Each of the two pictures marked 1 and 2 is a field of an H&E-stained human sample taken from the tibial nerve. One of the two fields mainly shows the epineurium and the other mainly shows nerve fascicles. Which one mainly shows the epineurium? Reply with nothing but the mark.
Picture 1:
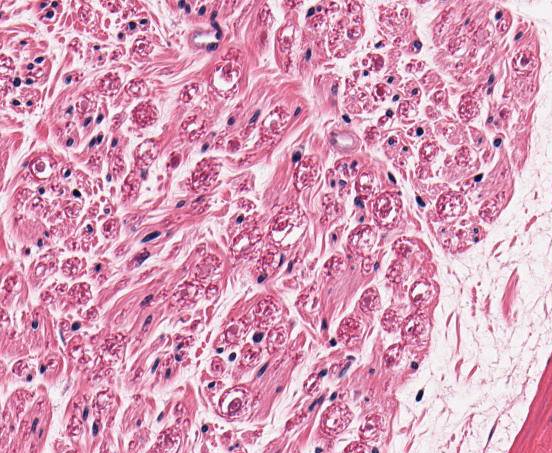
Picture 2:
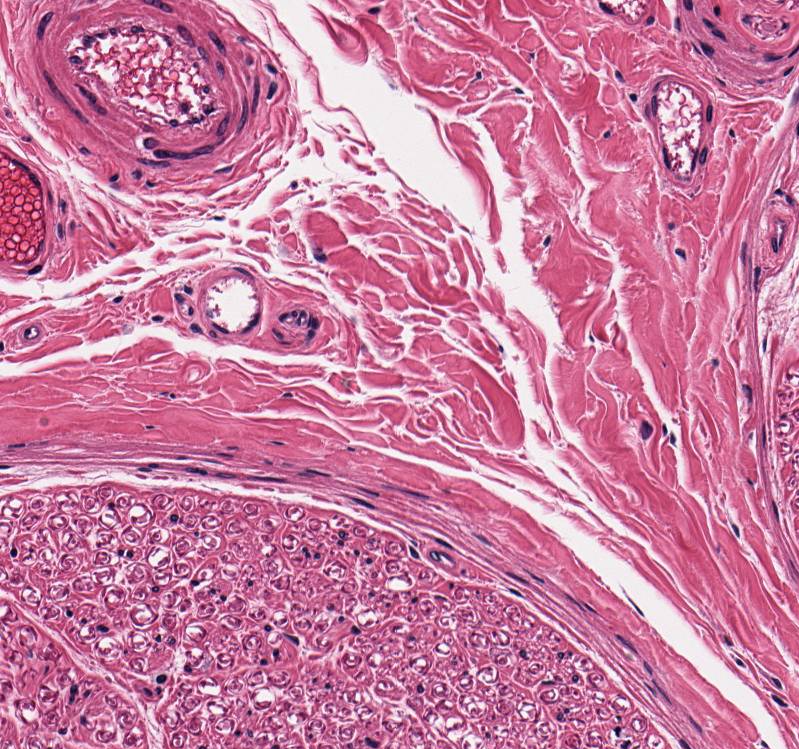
2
